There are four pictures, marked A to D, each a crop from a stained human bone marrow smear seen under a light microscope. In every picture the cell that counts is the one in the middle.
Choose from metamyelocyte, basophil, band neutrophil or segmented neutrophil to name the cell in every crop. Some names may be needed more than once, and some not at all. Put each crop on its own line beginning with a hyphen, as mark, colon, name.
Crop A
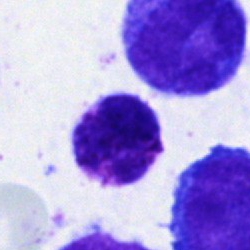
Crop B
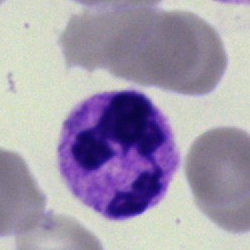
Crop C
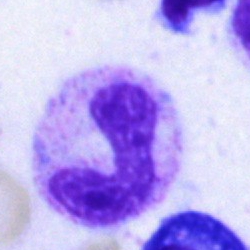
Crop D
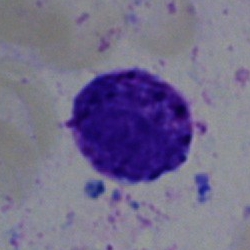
- A: basophil
- B: segmented neutrophil
- C: band neutrophil
- D: basophil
